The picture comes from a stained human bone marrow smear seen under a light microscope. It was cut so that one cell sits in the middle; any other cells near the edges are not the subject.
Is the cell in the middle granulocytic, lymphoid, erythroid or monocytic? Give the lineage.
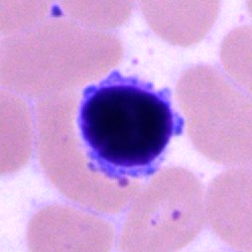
lymphoid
